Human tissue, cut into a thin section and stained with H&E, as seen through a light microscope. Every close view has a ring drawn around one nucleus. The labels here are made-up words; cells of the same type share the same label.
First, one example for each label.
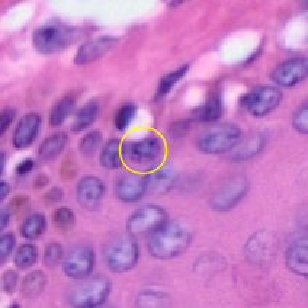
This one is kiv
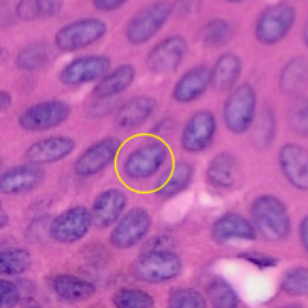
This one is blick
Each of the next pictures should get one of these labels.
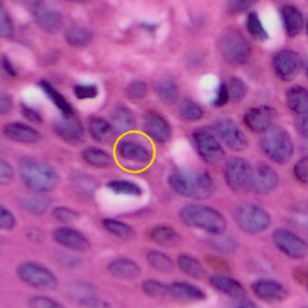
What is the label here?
kiv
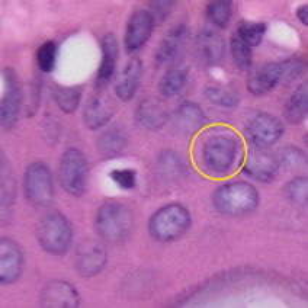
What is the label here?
blick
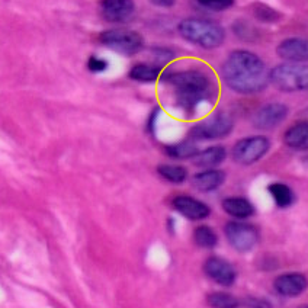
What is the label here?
kiv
